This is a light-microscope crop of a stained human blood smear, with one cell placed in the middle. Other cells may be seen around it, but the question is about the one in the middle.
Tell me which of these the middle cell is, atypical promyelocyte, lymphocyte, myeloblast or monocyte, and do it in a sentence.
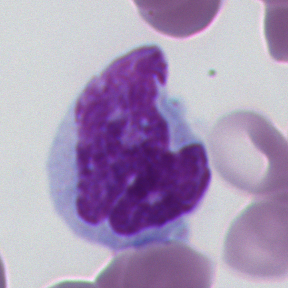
The cell in the exact centre of the crop is a monocyte.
